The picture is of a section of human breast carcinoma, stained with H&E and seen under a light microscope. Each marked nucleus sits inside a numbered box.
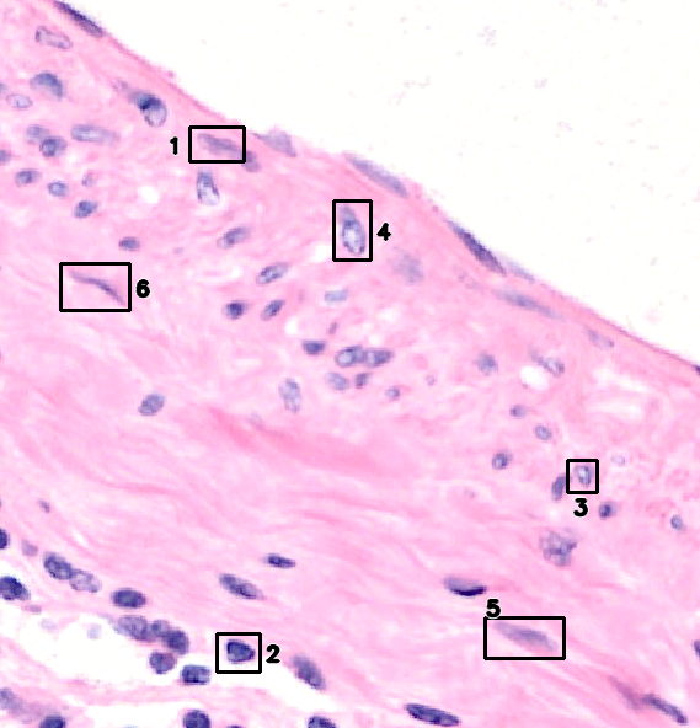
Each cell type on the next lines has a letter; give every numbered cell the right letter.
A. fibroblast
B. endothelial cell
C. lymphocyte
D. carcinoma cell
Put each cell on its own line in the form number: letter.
1: B
2: C
3: B
4: B
5: A
6: A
